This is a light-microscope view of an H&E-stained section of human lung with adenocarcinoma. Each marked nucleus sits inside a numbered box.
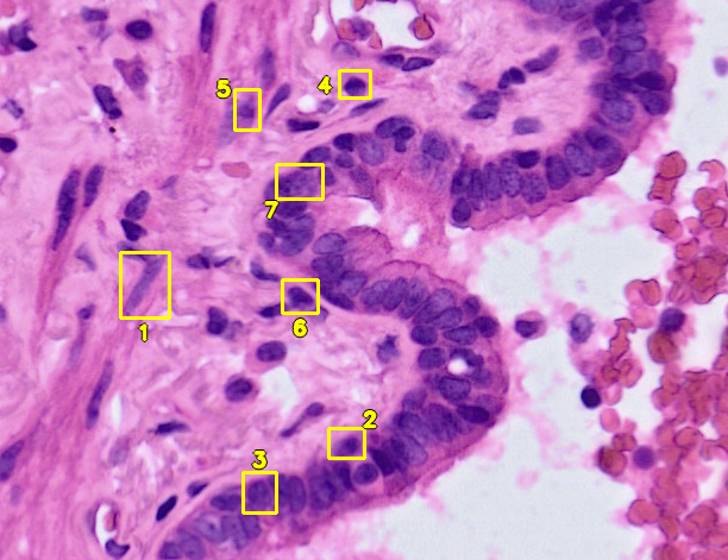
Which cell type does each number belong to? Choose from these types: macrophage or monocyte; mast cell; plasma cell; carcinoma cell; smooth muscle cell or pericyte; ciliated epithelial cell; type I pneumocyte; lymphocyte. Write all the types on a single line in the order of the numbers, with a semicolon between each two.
smooth muscle cell or pericyte; ciliated epithelial cell; ciliated epithelial cell; lymphocyte; smooth muscle cell or pericyte; lymphocyte; ciliated epithelial cell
